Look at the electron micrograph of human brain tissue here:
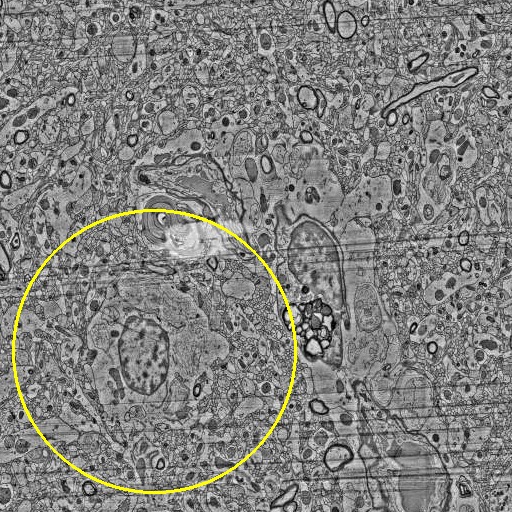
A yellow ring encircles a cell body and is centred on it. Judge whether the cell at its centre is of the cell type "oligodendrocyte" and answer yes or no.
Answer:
no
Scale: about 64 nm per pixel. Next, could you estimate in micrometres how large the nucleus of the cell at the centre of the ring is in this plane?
Roughly 5 micrometres by 3 micrometres, in this plane.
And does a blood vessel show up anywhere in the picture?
Yes, a blood vessel shows in the picture.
